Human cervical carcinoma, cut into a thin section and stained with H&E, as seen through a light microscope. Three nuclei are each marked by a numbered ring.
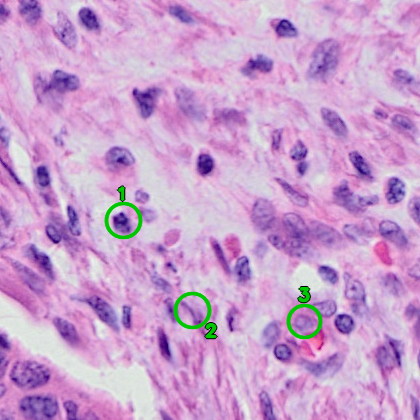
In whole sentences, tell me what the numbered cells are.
Cell 1 is a lymphocyte. Cell 2 is a fibroblast. Cell 3 is an endothelial cell.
